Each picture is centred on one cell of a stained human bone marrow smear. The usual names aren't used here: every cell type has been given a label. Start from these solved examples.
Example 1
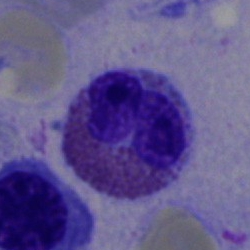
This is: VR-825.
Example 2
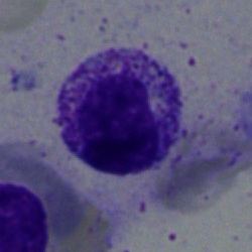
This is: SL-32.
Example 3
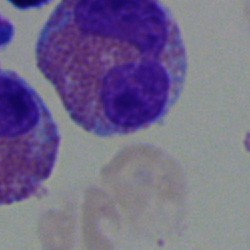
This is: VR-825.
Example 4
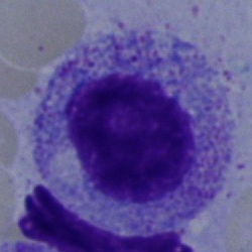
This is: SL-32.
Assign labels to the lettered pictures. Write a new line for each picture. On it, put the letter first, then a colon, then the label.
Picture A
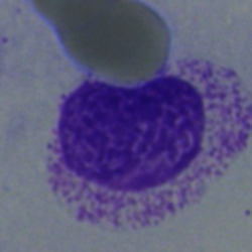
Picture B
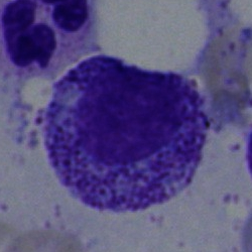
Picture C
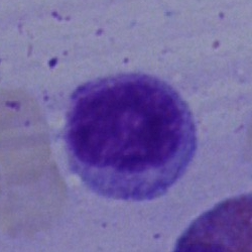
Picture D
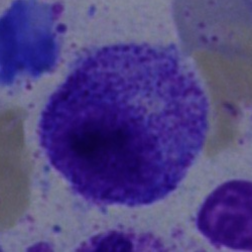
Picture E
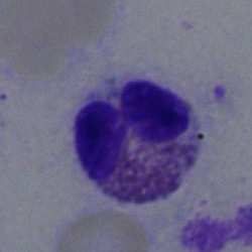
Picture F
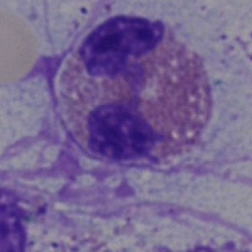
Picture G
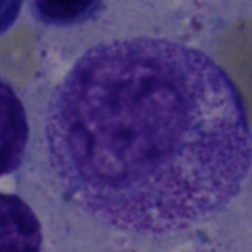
A: SL-32.
B: SL-32.
C: SL-32.
D: SL-32.
E: VR-825.
F: VR-825.
G: SL-32.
